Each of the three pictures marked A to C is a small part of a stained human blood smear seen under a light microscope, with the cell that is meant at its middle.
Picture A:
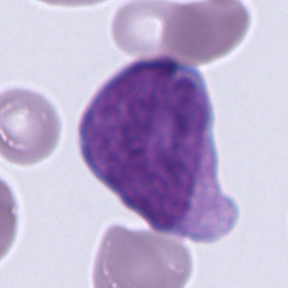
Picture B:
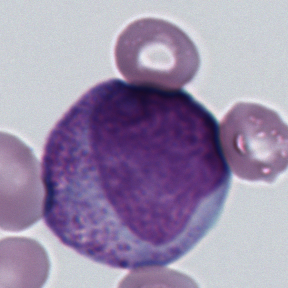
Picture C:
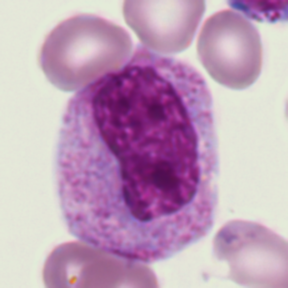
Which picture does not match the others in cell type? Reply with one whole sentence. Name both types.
Picture C differs, because its cell is a myelocyte and the rest are atypical promyelocytes.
